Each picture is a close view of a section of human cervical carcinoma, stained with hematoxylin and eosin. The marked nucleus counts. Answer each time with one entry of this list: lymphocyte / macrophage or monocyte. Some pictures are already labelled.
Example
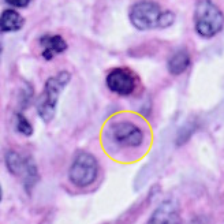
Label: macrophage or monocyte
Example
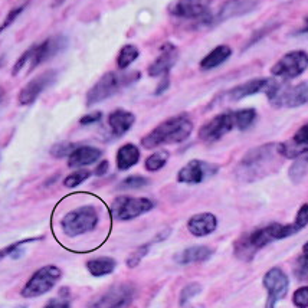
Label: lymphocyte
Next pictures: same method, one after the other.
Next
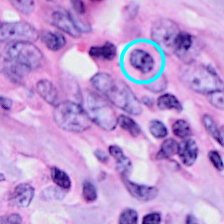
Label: lymphocyte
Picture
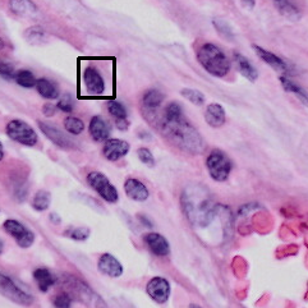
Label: lymphocyte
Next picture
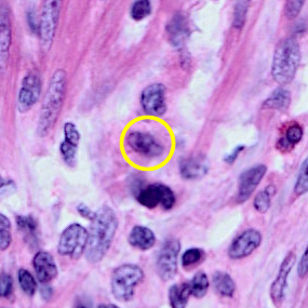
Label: macrophage or monocyte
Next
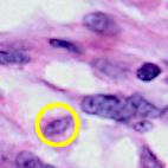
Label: macrophage or monocyte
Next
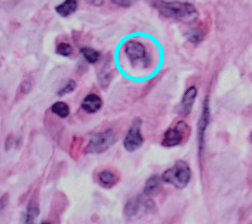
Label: macrophage or monocyte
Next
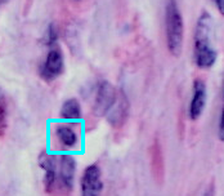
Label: lymphocyte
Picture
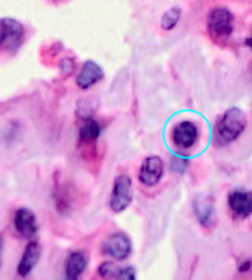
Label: lymphocyte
